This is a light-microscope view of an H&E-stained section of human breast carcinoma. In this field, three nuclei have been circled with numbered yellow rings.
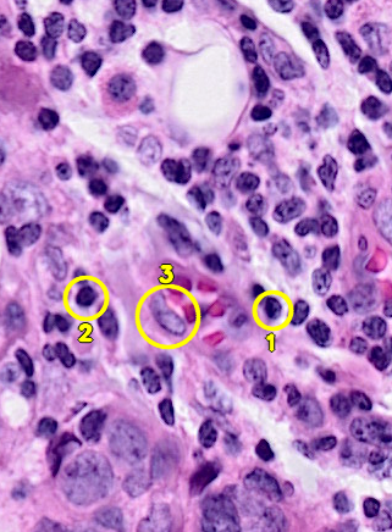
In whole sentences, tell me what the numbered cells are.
Cells 1 and 2 are lymphocytes. Cell 3 is an endothelial cell.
